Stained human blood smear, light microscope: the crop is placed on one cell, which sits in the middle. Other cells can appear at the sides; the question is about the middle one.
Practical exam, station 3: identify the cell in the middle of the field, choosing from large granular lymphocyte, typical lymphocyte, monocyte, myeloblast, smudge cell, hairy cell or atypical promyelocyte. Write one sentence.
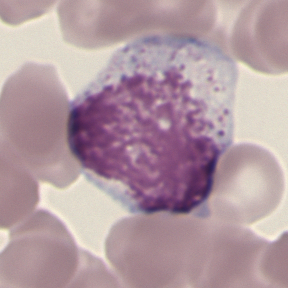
The cell at the central position in this crop is a large granular lymphocyte.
